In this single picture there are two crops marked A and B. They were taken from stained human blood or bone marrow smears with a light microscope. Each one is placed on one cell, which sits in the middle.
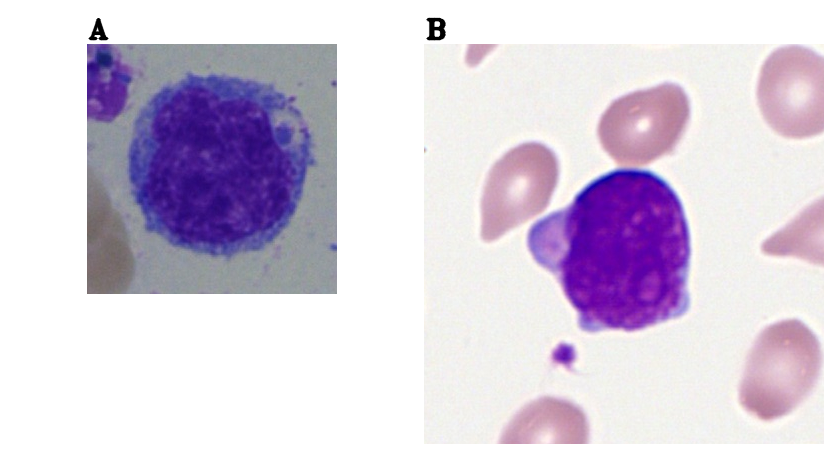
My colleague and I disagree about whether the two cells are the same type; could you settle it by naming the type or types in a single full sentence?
Yes, that holds, both crops show blasts.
